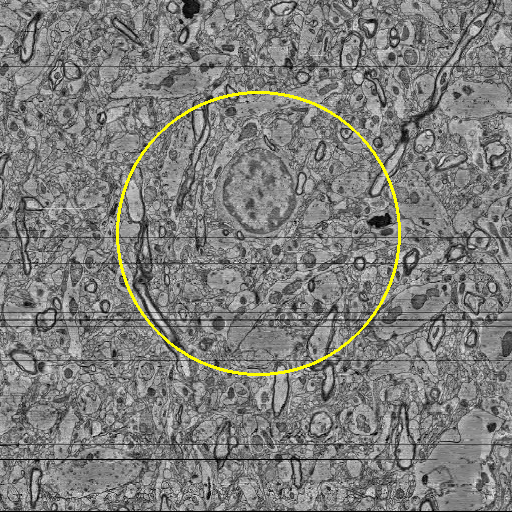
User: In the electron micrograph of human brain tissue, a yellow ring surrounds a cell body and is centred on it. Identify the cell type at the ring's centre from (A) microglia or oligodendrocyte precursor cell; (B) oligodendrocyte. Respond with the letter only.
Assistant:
B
